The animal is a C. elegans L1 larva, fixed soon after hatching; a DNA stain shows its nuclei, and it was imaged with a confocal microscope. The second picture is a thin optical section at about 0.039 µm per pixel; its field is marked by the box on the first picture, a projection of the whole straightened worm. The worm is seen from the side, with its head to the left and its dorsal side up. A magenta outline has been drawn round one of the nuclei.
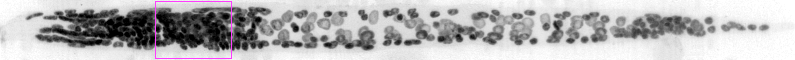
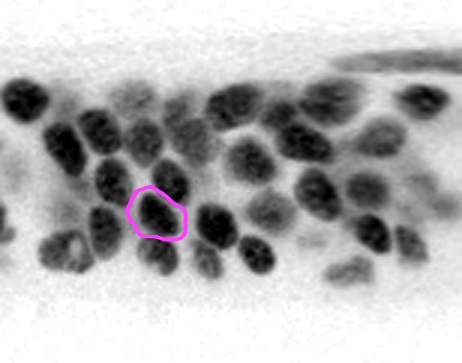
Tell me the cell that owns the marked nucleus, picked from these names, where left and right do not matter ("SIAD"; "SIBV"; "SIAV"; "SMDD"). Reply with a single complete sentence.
It is the nucleus of SIBV, a neuron.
